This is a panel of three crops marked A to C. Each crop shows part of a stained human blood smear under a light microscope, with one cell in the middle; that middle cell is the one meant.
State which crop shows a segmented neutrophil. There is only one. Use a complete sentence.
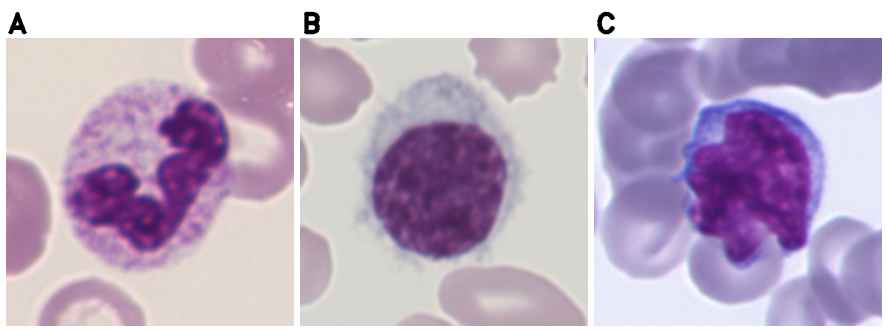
In this series, a segmented neutrophil is shown by crop A.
